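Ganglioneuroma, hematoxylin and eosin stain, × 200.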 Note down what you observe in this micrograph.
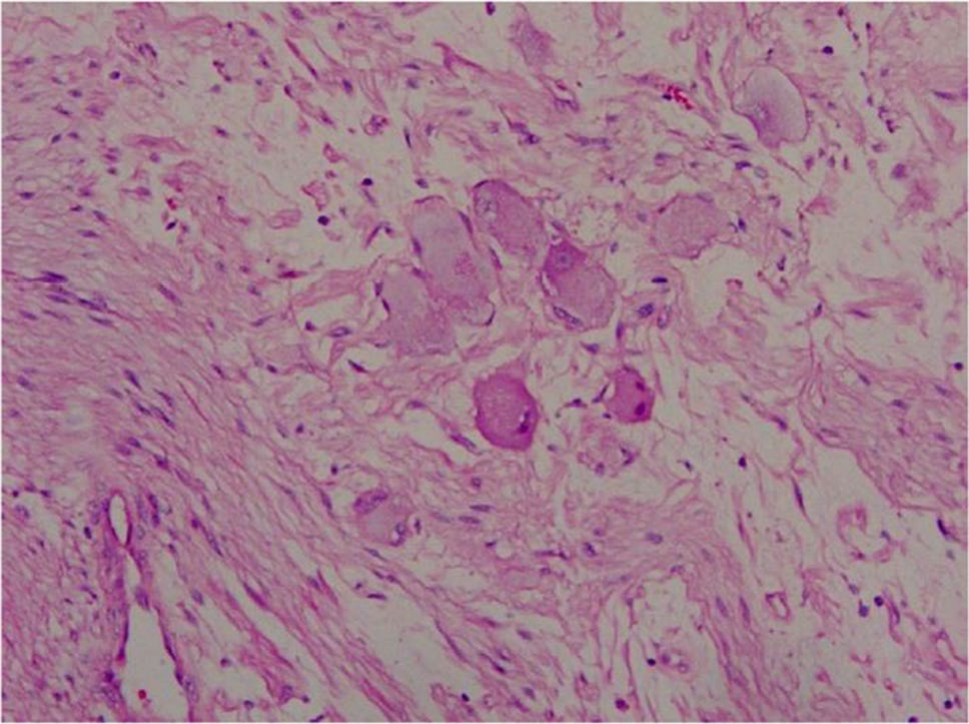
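A cluster of large polygonal ganglion cells lies in a loose fibrillary stroma of spindle-shaped Schwann cells. The ganglion cells have abundant pink, granular cytoplasm, and some show round nuclei with nucleoli. The Schwann cells have slender, wavy dark nuclei and run in streaming bundles through pale pink, partly loose stroma, with a small vessel at the lower left.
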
